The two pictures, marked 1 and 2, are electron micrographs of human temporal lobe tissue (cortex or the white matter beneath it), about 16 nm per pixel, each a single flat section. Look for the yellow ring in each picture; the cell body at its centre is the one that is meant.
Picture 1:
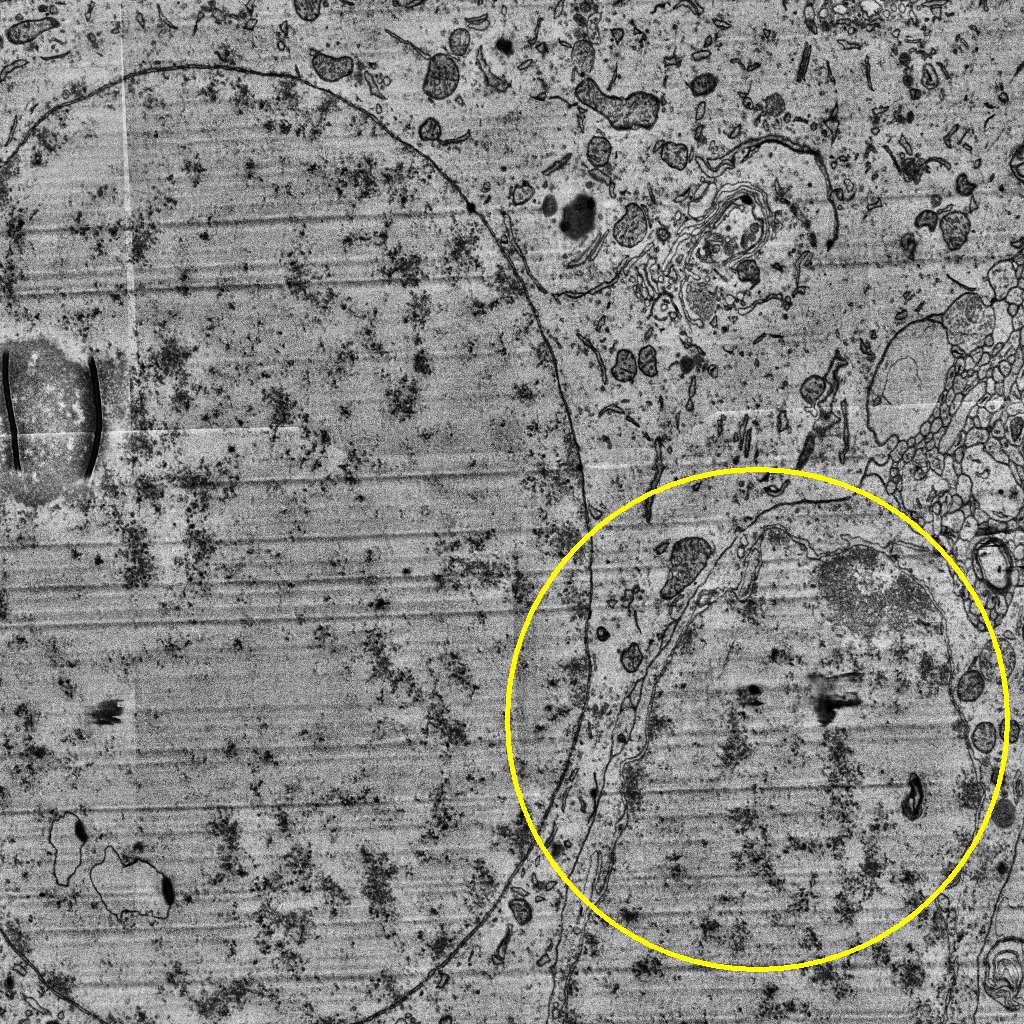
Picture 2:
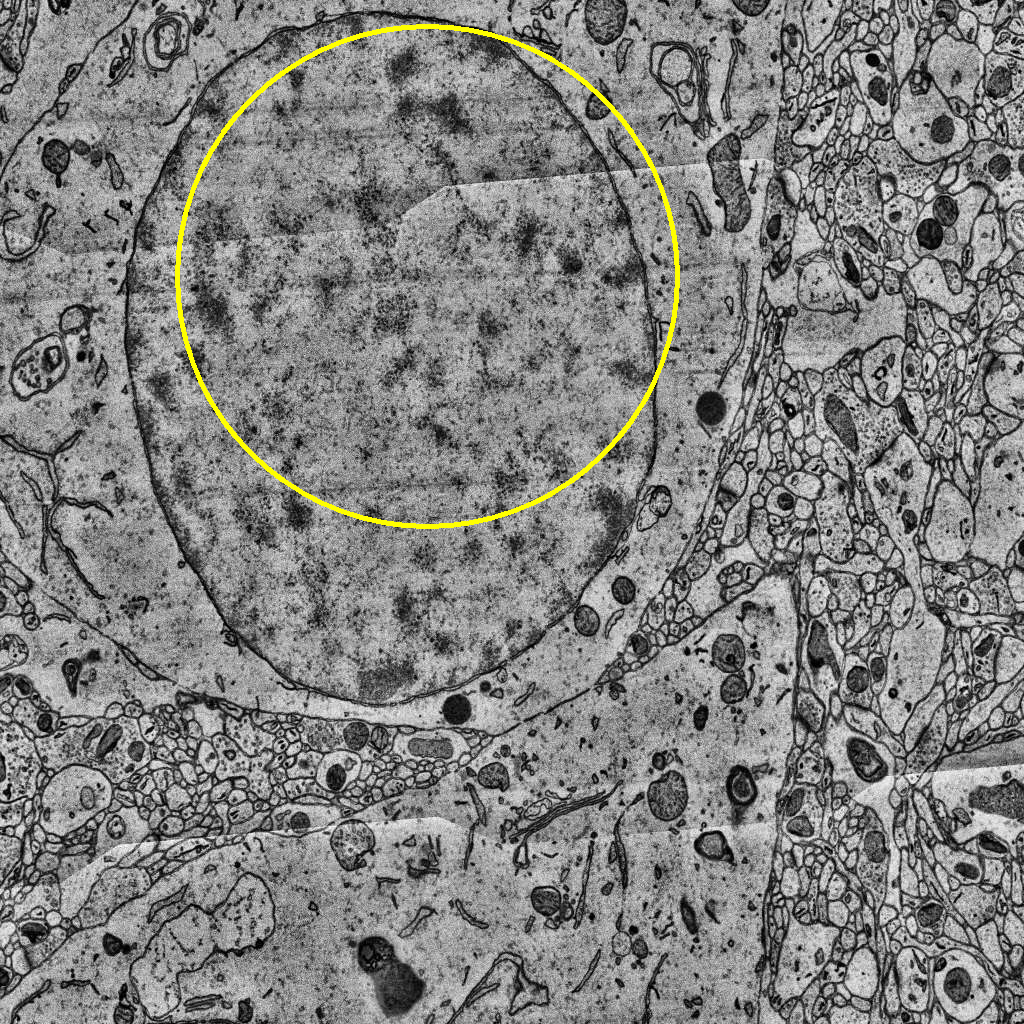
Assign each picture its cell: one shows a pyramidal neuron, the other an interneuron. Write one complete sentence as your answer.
It is picture 1 that shows an interneuron, and picture 2 that shows a pyramidal neuron.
